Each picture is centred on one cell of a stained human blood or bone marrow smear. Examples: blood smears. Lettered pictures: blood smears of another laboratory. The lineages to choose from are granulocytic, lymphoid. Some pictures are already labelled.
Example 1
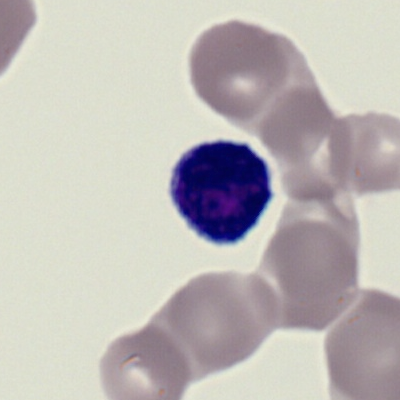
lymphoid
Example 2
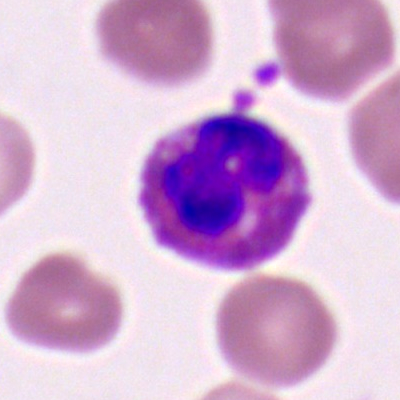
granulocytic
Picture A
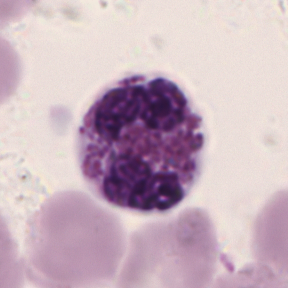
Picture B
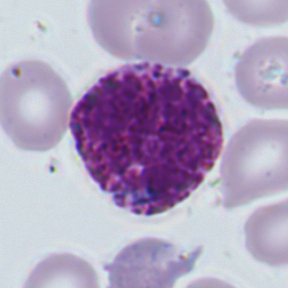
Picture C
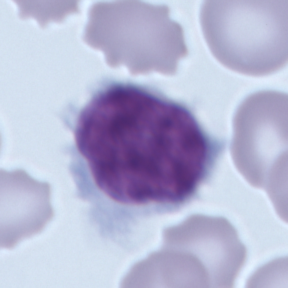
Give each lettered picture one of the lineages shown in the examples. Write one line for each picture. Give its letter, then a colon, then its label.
A: granulocytic
B: granulocytic
C: lymphoid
